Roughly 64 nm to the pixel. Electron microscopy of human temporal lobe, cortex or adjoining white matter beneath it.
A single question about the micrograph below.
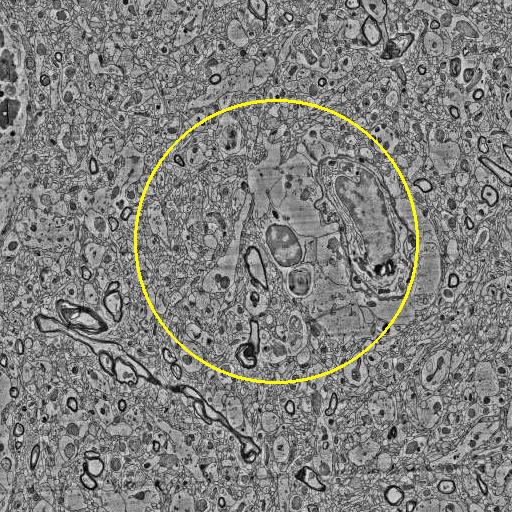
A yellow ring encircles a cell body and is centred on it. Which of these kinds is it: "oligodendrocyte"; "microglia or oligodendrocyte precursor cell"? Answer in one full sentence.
The cell body at the centre of the yellow ring belongs to a microglial cell or oligodendrocyte precursor cell.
